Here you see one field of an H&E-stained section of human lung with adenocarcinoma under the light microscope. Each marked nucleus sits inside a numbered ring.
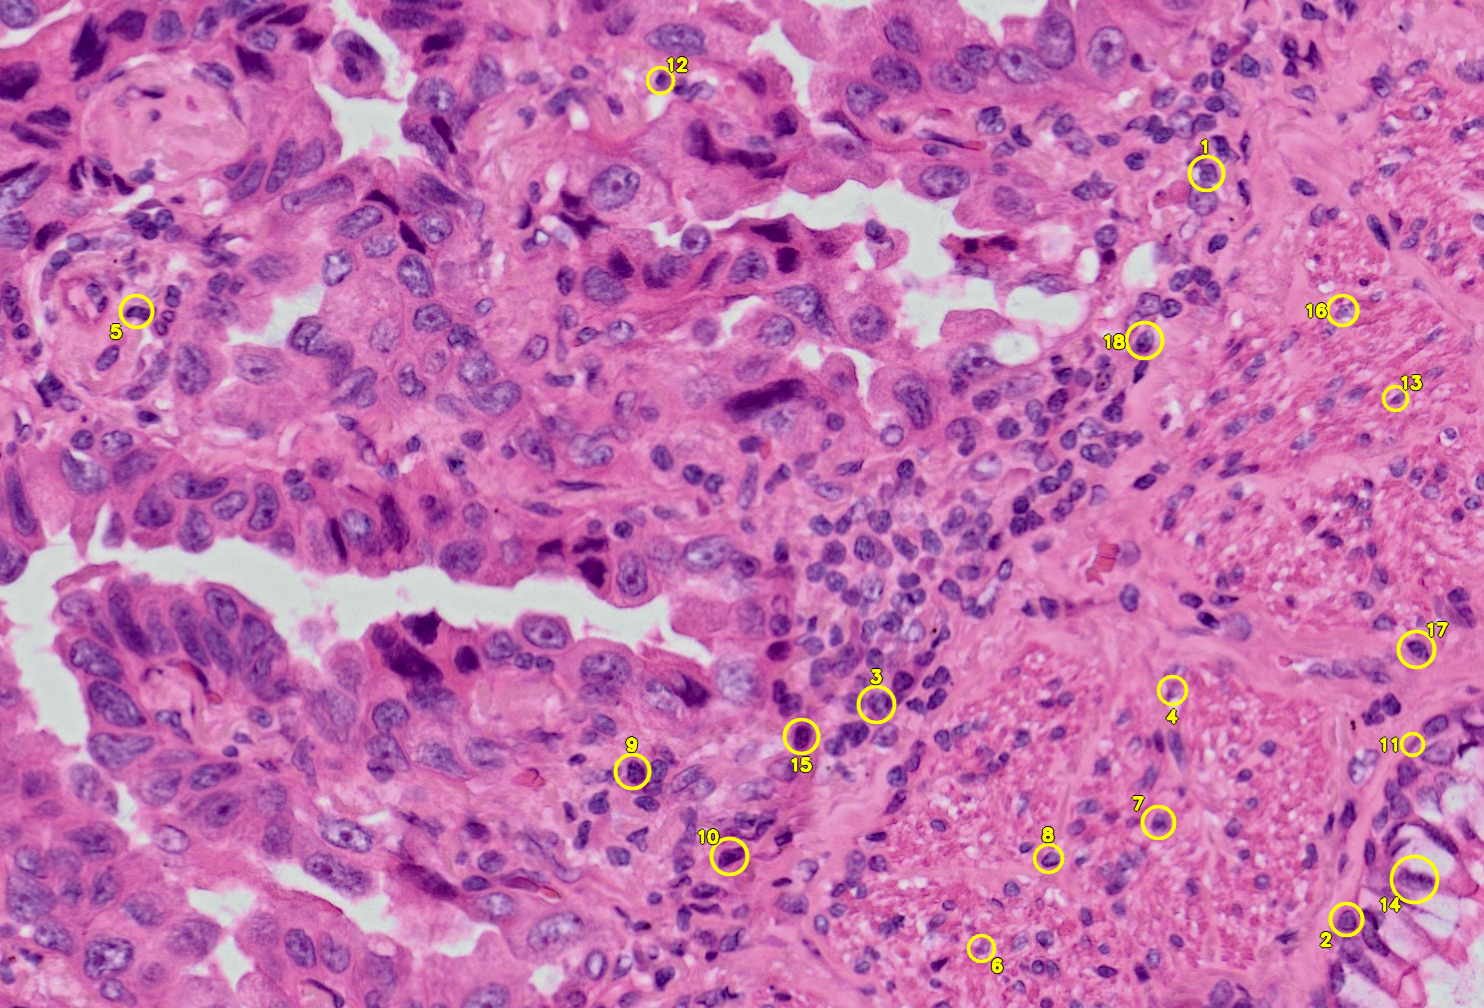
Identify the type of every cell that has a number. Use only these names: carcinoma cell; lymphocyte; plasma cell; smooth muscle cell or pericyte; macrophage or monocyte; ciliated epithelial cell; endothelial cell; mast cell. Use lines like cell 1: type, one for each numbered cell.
cell 1: lymphocyte
cell 2: ciliated epithelial cell
cell 3: plasma cell
cell 4: smooth muscle cell or pericyte
cell 5: plasma cell
cell 6: smooth muscle cell or pericyte
cell 7: smooth muscle cell or pericyte
cell 8: mast cell
cell 9: plasma cell
cell 10: plasma cell
cell 11: ciliated epithelial cell
cell 12: lymphocyte
cell 13: smooth muscle cell or pericyte
cell 14: ciliated epithelial cell
cell 15: plasma cell
cell 16: smooth muscle cell or pericyte
cell 17: mast cell
cell 18: lymphocyte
